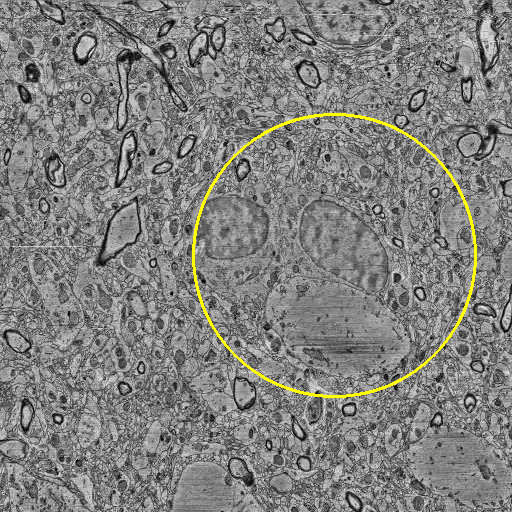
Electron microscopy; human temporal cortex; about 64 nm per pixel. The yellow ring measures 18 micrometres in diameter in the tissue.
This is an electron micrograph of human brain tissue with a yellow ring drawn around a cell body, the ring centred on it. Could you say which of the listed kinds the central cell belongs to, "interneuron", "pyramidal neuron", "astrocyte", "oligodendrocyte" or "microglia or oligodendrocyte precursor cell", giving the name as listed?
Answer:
oligodendrocyte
